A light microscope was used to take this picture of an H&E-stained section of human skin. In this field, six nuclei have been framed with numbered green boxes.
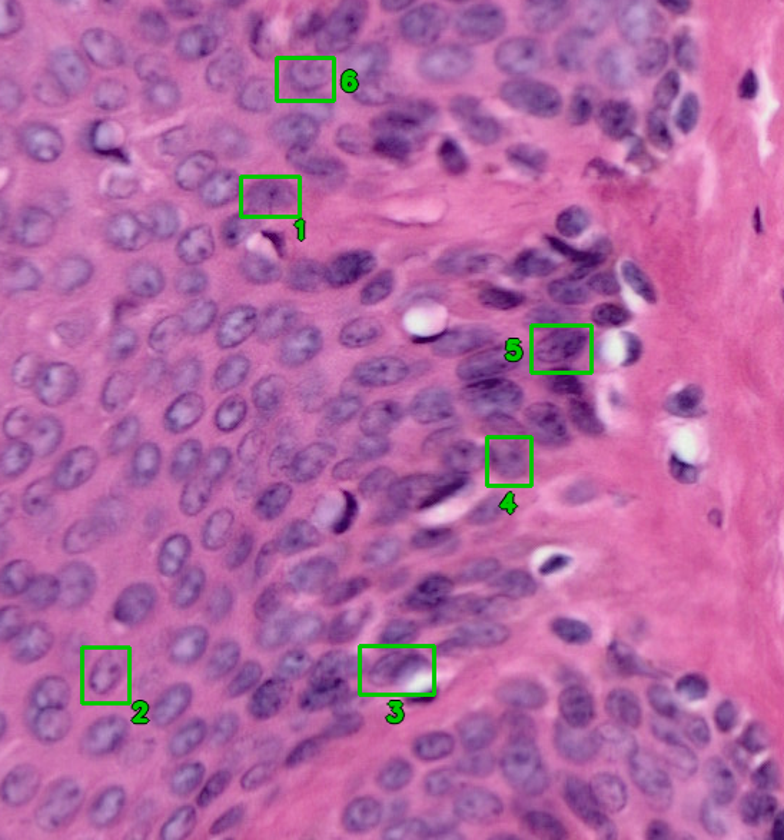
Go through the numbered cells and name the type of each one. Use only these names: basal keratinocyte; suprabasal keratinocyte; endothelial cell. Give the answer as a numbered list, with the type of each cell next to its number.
1. basal keratinocyte
2. suprabasal keratinocyte
3. basal keratinocyte
4. basal keratinocyte
5. basal keratinocyte
6. suprabasal keratinocyte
